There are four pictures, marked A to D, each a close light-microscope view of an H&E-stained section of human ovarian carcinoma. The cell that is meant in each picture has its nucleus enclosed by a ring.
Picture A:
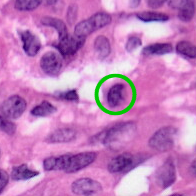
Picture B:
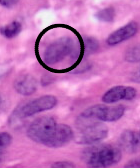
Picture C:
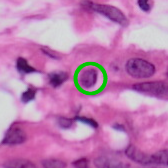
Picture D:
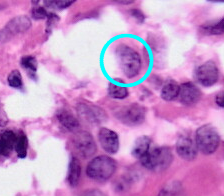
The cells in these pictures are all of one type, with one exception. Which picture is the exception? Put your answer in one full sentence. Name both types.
Unlike the rest, which show “macrophages or monocytes”, picture B shows a carcinoma cell.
